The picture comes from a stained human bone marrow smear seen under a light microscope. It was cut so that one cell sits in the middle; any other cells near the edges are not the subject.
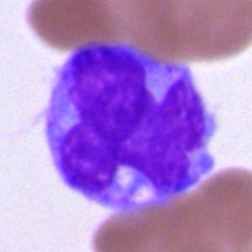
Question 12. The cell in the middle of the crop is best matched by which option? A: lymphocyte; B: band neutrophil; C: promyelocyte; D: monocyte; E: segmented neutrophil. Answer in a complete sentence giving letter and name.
Well, the cell in the middle is a monocyte, making option D right.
